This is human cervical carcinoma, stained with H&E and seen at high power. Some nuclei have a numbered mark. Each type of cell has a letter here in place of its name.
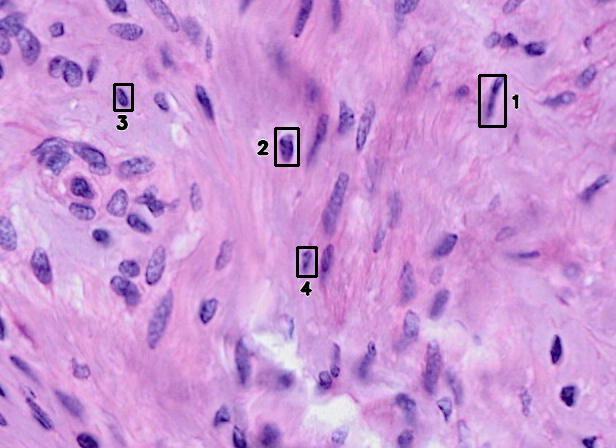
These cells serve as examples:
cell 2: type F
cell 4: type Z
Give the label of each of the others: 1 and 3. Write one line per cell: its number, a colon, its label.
1: type Z
3: type Z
